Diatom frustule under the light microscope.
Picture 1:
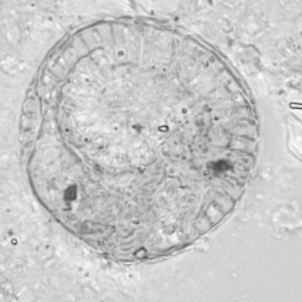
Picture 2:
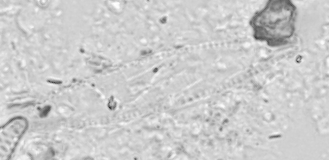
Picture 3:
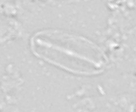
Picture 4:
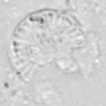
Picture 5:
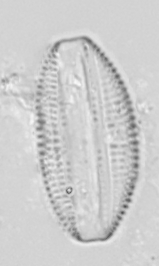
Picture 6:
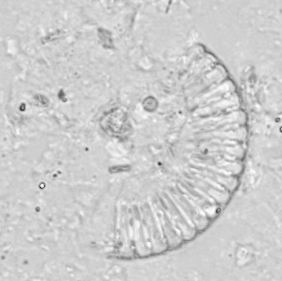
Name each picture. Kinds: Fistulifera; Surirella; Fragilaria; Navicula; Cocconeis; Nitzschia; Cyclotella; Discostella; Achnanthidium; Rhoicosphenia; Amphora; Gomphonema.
Picture 1: Cyclotella
Picture 2: Nitzschia
Picture 3: Fistulifera
Picture 4: Discostella
Picture 5: Amphora
Picture 6: Cyclotella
